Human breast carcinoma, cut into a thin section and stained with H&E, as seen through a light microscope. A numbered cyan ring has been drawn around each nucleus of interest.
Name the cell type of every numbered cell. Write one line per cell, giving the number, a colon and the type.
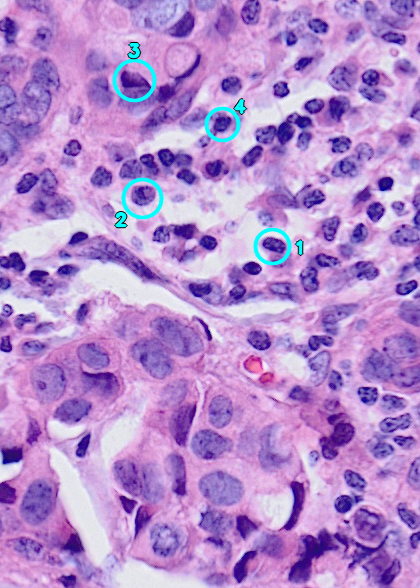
1: lymphocyte
2: lymphocyte
3: carcinoma cell
4: lymphocyte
